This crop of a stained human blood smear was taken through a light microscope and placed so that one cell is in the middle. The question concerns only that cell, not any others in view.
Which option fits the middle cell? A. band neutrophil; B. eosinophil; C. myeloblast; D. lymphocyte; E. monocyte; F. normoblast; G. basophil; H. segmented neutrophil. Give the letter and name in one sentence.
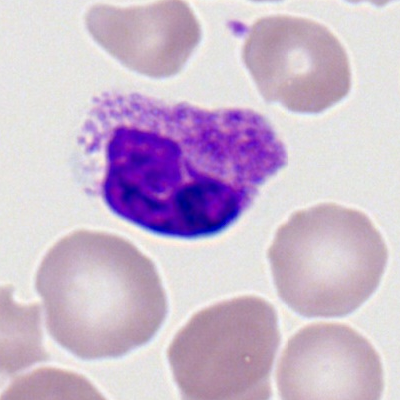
The cell in the middle is correctly identified as a basophil in option G.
